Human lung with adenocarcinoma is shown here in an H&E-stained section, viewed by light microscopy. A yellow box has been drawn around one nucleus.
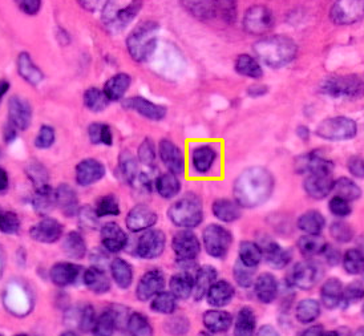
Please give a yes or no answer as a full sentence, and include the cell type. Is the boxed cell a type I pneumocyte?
No, the boxed cell is not a type I pneumocyte but a lymphocyte.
